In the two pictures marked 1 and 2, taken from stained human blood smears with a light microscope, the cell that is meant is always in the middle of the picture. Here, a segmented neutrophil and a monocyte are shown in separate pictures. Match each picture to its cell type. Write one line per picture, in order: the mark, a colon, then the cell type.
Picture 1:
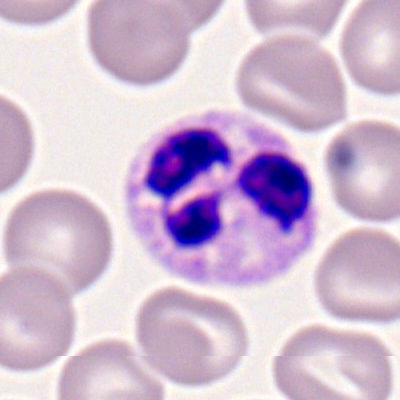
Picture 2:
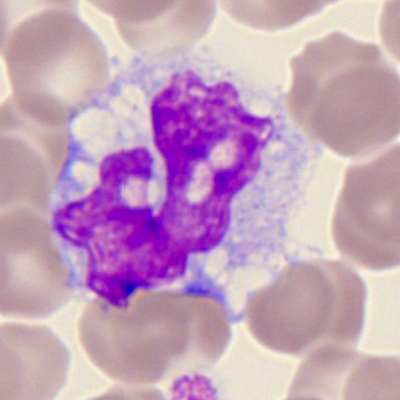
1: segmented neutrophil
2: monocyte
